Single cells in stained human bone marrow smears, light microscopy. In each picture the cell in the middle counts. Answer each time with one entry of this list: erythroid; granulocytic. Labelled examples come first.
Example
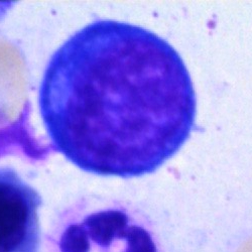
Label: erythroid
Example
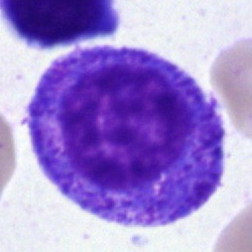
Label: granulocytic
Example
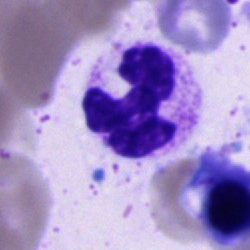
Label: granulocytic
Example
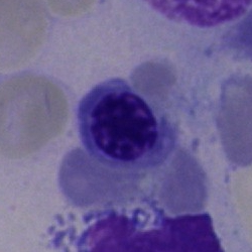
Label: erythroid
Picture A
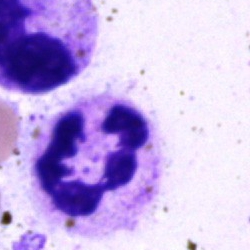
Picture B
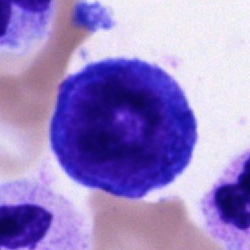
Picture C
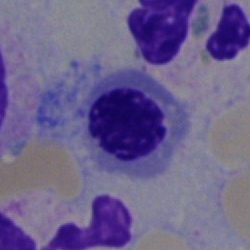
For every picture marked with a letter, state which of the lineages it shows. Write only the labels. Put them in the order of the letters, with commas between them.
granulocytic, erythroid, erythroid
